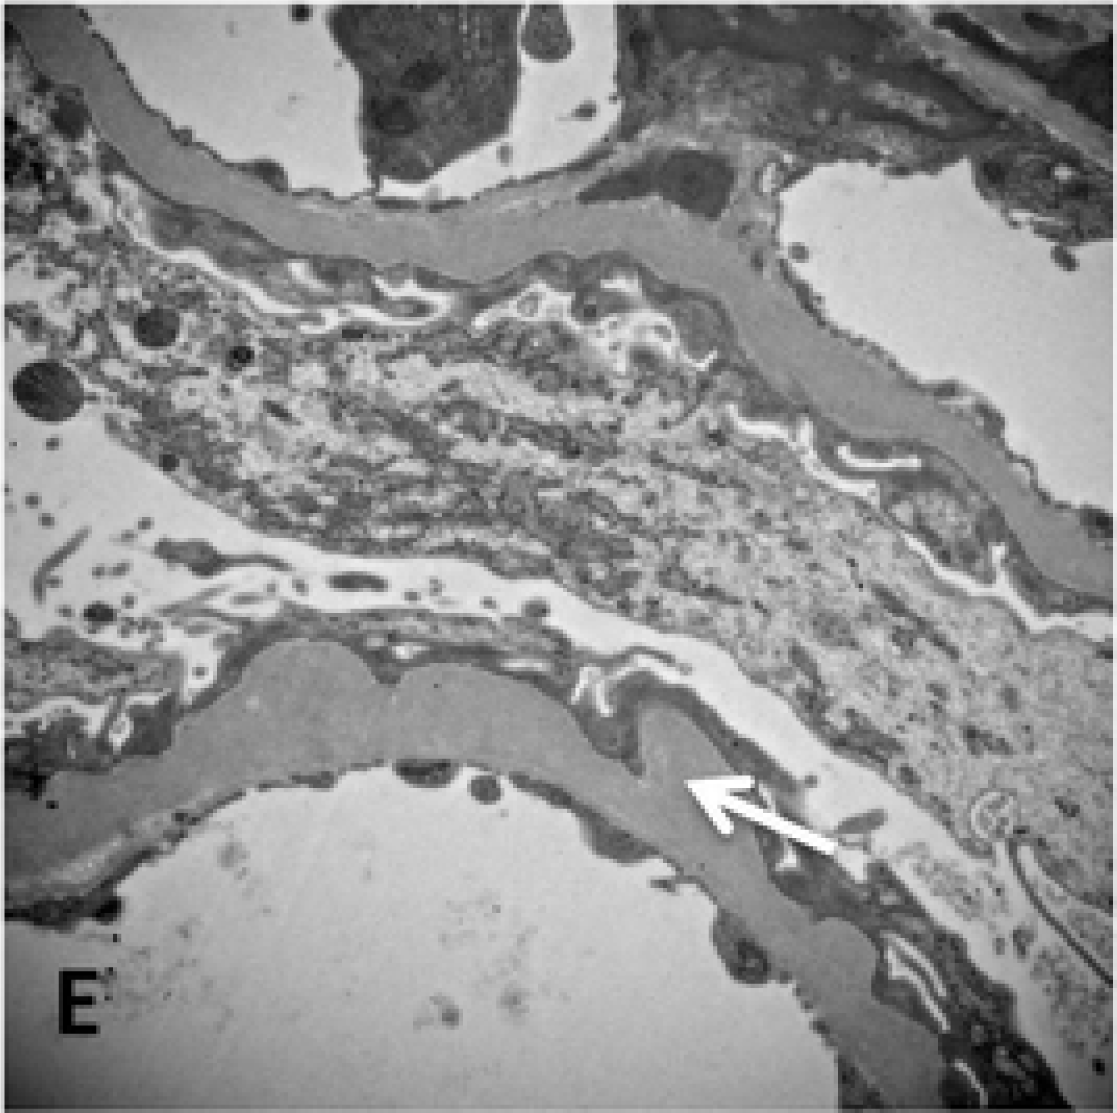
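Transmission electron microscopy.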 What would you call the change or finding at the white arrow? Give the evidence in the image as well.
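The arrow points to a broad, homogeneous grey band bordering a capillary lumen. The band is several times thicker than the thin cell layers beside it and bulges unevenly.
Expanded glomerular basement membrane.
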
